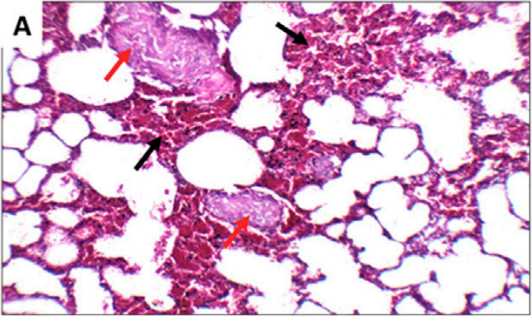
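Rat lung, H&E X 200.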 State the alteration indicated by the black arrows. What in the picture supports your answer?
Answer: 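These red areas fill the tissue between the alveoli.
Conclusion: interstitial hemorrhage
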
